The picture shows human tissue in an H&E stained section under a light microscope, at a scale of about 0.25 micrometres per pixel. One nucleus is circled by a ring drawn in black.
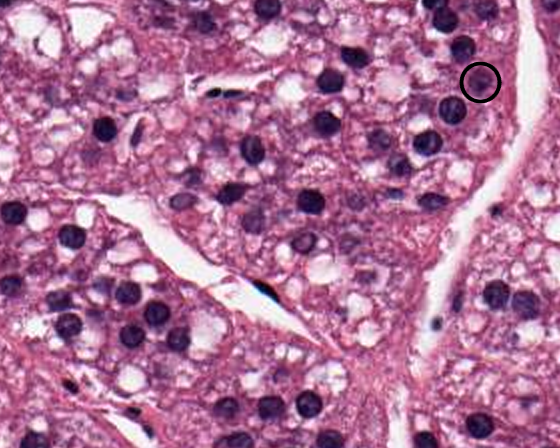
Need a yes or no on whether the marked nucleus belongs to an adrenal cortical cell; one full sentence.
Yes, the marked nucleus belongs, in this section, to an adrenal cortical cell.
